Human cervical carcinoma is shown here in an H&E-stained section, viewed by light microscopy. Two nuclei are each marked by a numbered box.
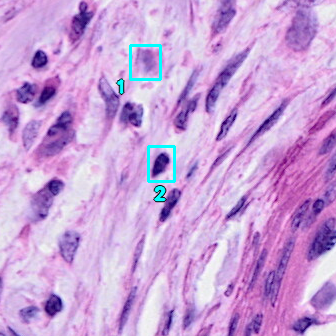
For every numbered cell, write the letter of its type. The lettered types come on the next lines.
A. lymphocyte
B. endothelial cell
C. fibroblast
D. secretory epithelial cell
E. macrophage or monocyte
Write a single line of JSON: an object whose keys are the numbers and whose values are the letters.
{"1": "C", "2": "A"}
